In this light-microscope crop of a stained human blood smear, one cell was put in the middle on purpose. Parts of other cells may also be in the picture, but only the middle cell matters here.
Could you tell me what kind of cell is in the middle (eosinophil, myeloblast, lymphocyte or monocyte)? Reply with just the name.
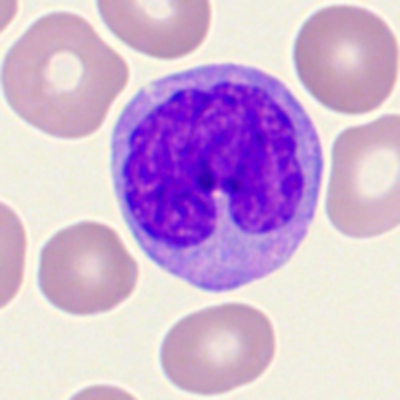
monocyte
